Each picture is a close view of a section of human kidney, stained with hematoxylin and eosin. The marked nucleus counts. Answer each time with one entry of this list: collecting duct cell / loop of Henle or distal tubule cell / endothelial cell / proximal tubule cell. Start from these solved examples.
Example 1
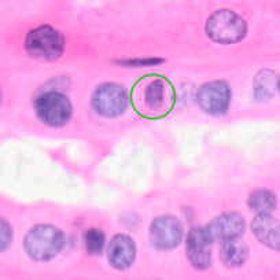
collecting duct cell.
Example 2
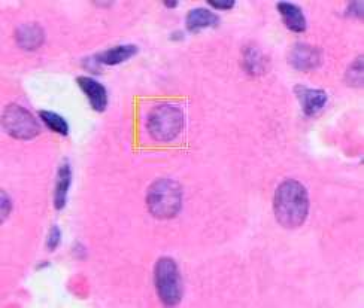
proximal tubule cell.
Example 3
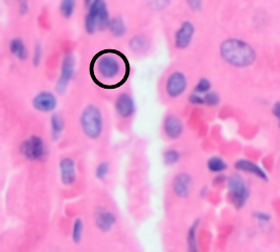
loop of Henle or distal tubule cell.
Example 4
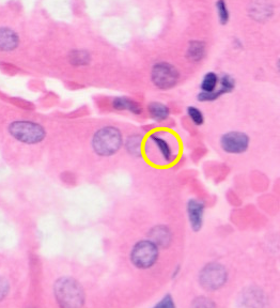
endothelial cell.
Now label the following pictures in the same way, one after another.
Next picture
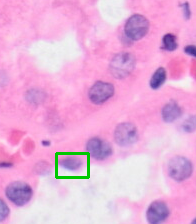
loop of Henle or distal tubule cell.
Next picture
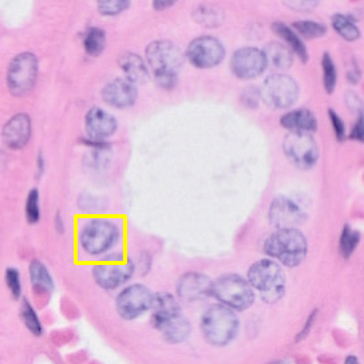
collecting duct cell.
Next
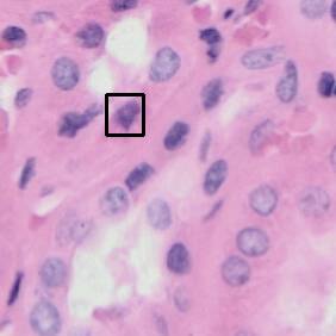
loop of Henle or distal tubule cell.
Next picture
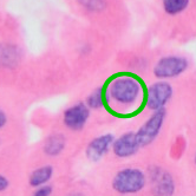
collecting duct cell.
